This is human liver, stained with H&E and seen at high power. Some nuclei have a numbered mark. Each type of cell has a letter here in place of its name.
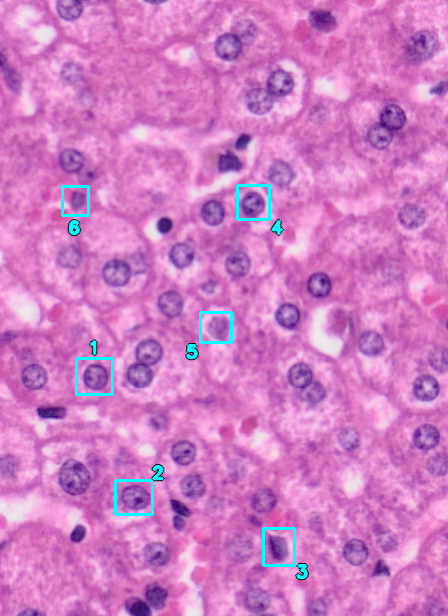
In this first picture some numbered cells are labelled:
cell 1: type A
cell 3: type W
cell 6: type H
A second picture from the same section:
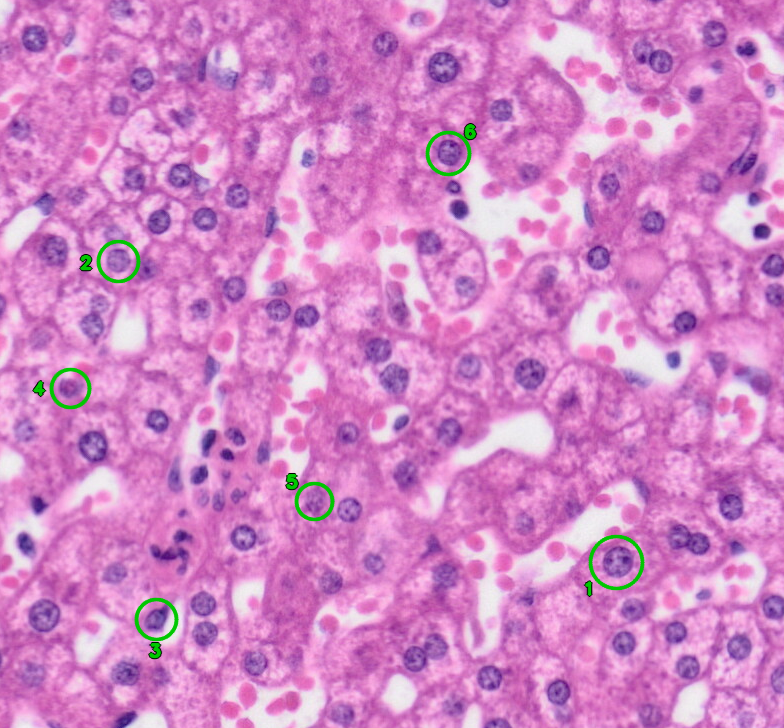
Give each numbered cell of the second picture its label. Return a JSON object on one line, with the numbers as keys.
{"1": "type A", "2": "type A", "3": "type H", "4": "type W", "5": "type A", "6": "type A"}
